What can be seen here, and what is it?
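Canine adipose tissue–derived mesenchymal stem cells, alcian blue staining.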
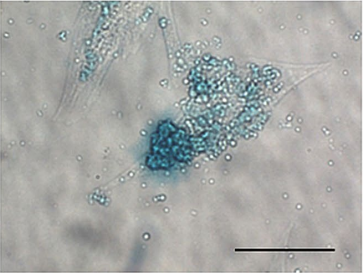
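A cluster of small rounded cells lies over a layer of faint, flat, elongated cells, with its densest part stained deep blue-green. Around this core many small round cells sit loosely, each ringed or filled with paler blue, and a few more cluster at the upper left. The flat background cells take up little or no blue and show only their thin outlines.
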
